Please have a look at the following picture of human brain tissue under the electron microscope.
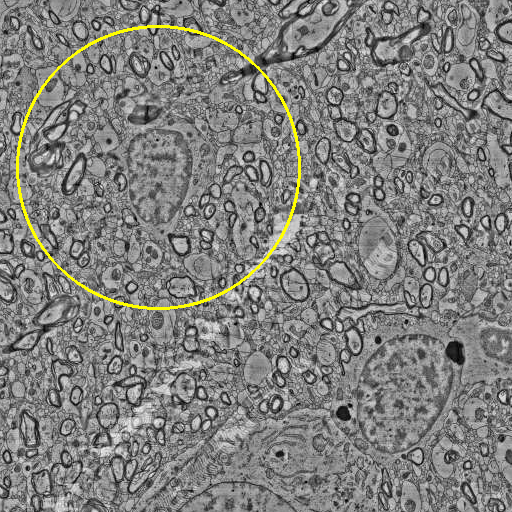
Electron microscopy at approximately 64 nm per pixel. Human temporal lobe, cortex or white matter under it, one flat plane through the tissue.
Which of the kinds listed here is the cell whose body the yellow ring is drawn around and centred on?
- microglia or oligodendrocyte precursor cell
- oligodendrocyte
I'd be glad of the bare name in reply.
oligodendrocyte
